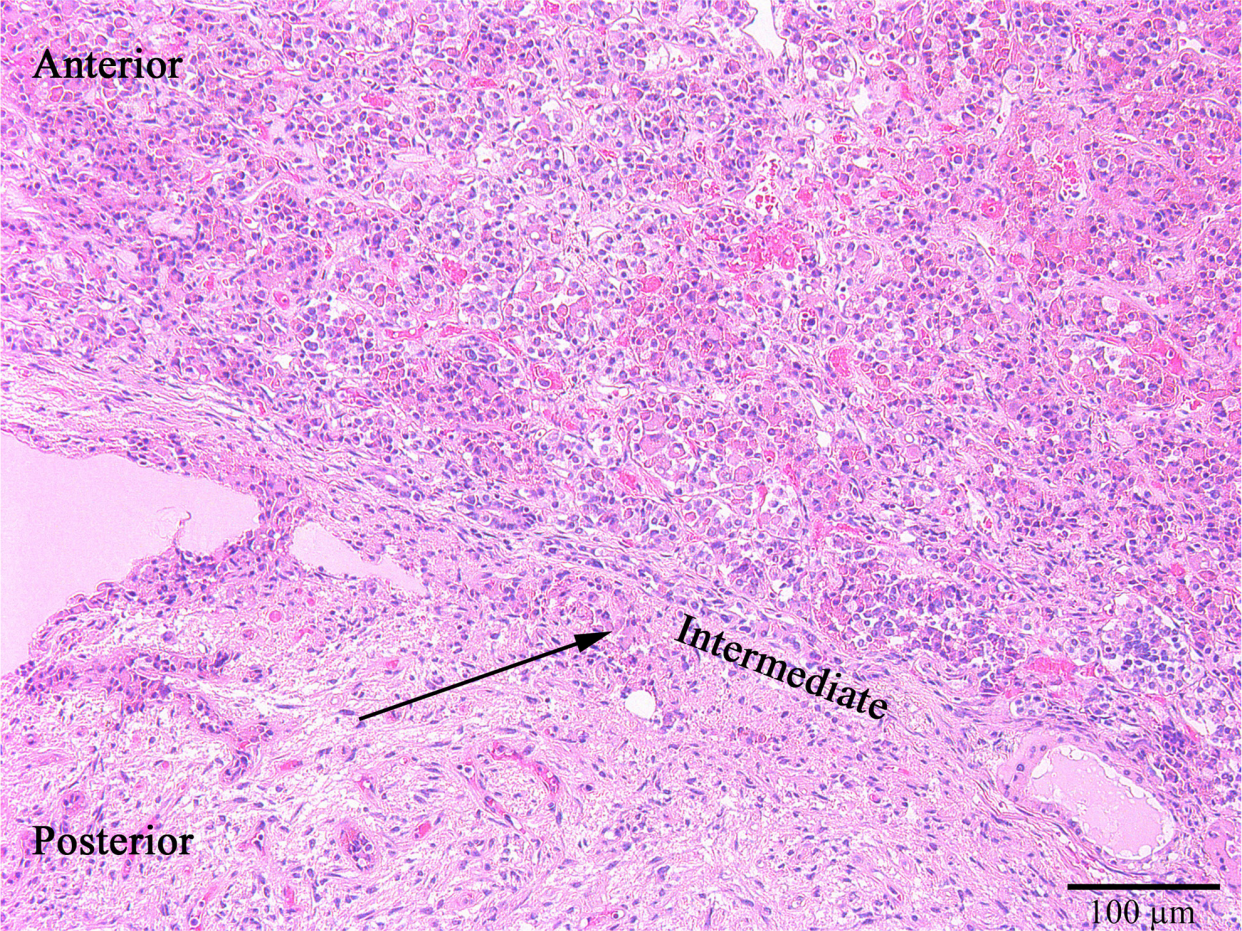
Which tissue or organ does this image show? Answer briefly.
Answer: Pituitary gland.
